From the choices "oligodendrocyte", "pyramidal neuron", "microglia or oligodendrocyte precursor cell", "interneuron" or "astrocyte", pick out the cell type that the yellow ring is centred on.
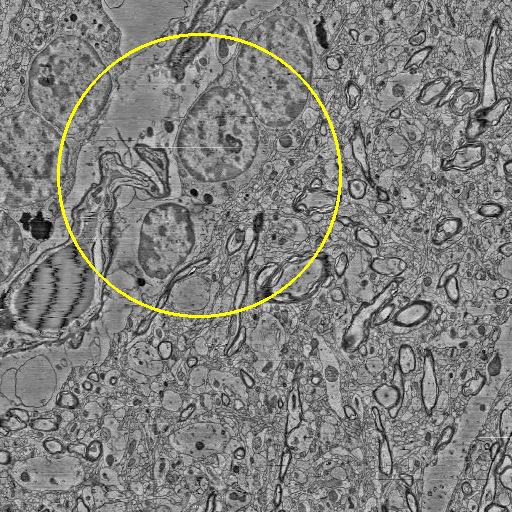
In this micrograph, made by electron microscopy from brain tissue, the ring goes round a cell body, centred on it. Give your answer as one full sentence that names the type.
The yellow ring is centred on an oligodendrocyte, whose cell body it encircles in the picture.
